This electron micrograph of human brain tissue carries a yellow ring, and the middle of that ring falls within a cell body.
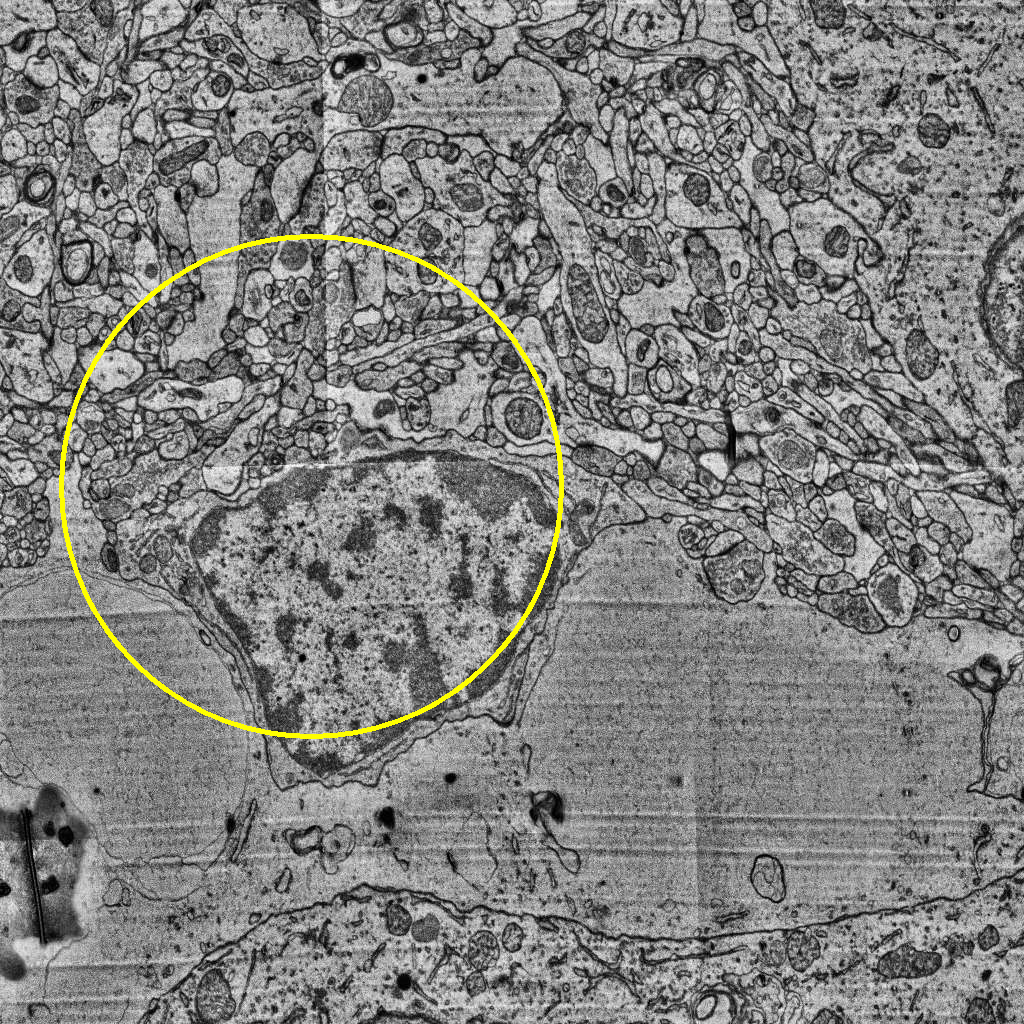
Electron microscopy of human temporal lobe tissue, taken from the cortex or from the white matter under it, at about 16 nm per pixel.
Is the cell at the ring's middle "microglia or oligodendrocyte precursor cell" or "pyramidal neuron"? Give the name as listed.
microglia or oligodendrocyte precursor cell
